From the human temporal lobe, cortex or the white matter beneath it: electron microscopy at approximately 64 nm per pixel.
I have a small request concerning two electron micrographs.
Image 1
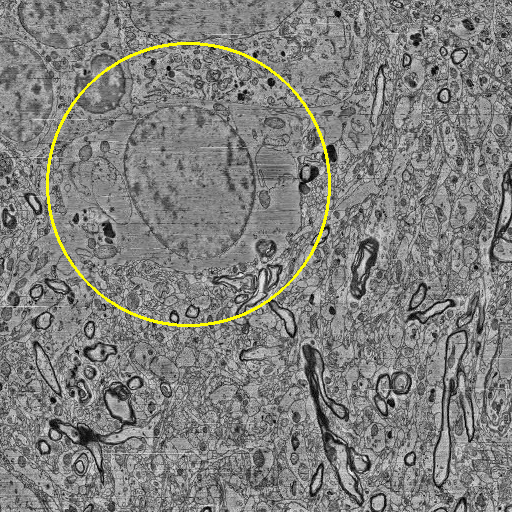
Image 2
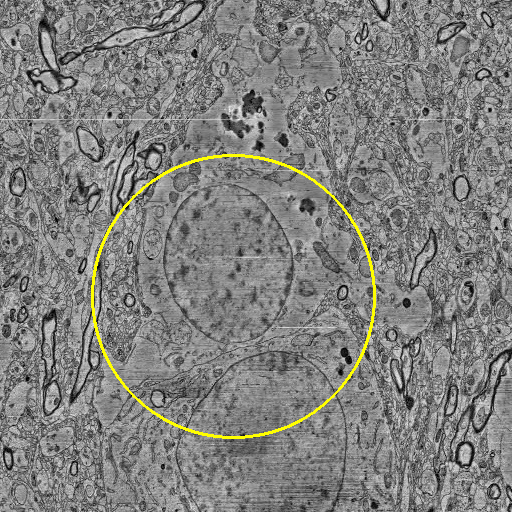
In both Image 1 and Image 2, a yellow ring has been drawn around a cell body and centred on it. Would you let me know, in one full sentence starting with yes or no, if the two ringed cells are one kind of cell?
Yes, the cells ringed in Image 1 and Image 2 are one kind of cell.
